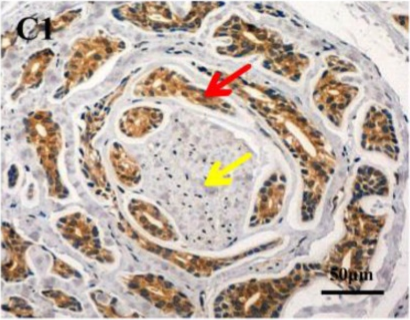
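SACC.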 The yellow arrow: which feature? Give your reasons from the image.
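Nerve. The arrow points to a round bundle of pale, finely fibrillar tissue with scattered small nuclei. The bundle lies in the centre and is encircled by a thin sheath and by stained tumour nests.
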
